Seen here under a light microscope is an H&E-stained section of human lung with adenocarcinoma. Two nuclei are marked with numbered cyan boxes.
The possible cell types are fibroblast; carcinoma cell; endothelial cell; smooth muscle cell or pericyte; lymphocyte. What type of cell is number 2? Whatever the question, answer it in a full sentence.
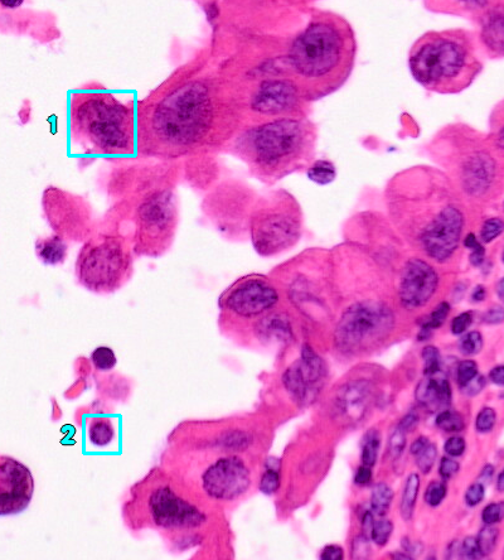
Among the marked nuclei, number 2 belongs to a lymphocyte.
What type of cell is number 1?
The marked cell bearing number 1 is a carcinoma cell.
